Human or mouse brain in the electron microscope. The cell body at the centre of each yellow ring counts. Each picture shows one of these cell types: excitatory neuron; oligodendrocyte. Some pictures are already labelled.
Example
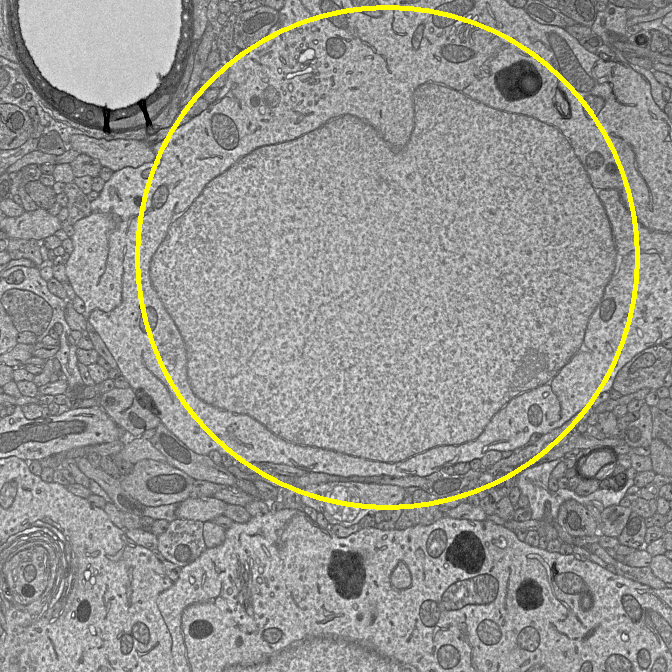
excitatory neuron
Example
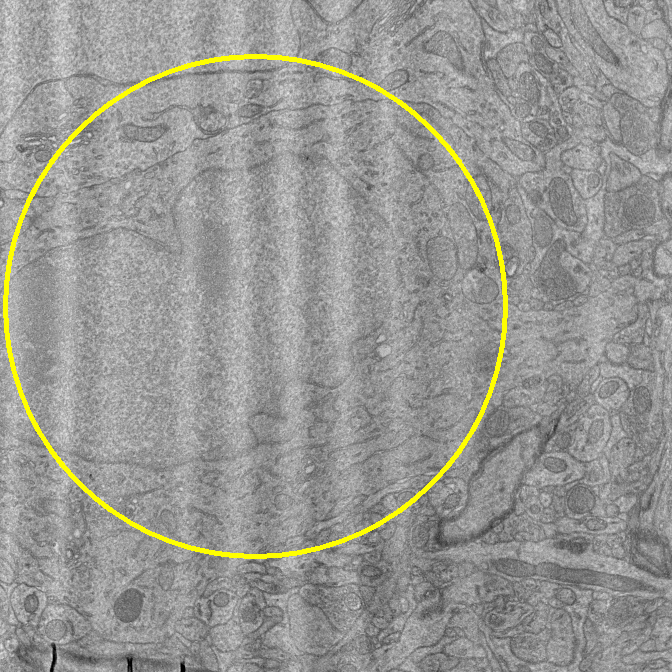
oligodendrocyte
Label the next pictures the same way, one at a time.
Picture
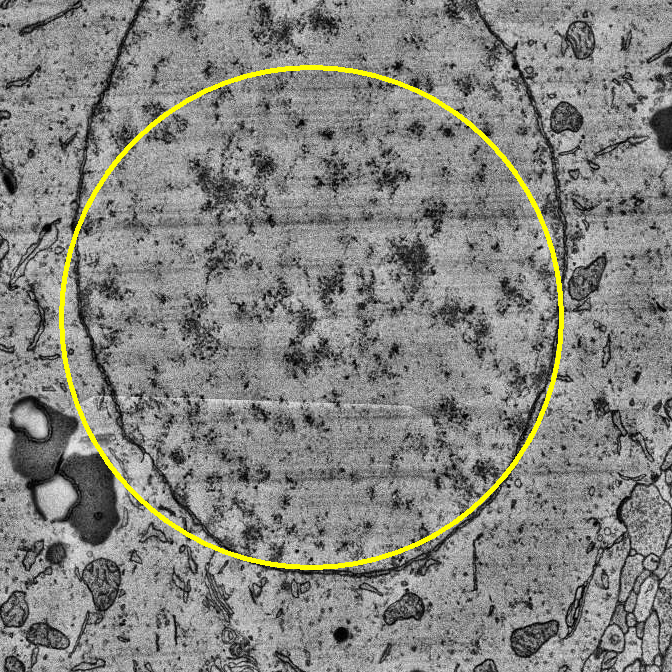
excitatory neuron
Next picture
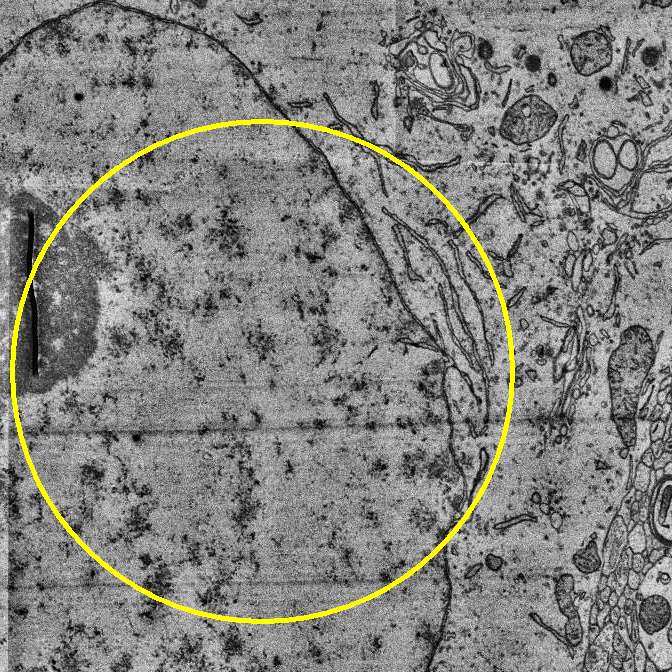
excitatory neuron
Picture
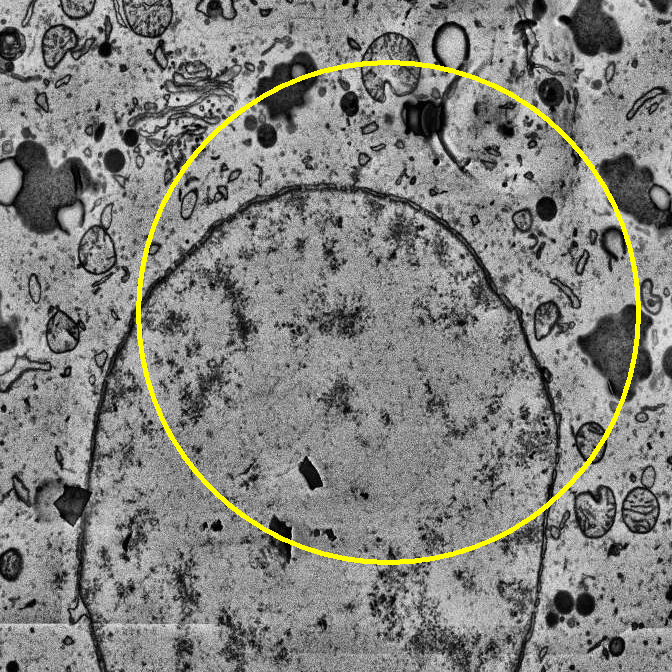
excitatory neuron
